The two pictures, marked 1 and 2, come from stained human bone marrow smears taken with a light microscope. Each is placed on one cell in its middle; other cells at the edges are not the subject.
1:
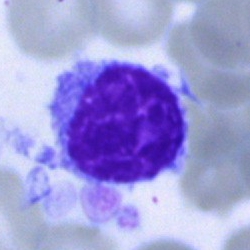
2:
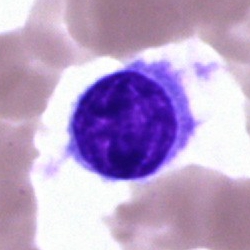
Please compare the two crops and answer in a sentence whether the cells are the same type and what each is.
Yes, with regard to both crops, the central cells are hairy cells.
